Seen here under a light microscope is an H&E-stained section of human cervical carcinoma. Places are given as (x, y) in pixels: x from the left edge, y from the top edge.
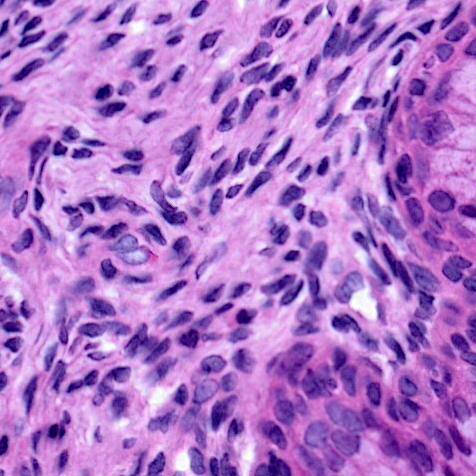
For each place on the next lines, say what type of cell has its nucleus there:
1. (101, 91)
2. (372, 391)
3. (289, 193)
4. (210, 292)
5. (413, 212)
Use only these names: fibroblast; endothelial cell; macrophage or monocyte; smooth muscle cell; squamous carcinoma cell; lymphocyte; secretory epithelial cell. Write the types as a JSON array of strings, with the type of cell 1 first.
["lymphocyte", "secretory epithelial cell", "fibroblast", "fibroblast", "secretory epithelial cell"]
